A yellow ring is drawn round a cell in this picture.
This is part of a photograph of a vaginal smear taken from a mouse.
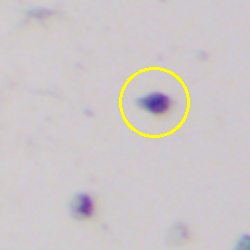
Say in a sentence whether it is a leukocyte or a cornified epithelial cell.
The cell in the ring is a leukocyte.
